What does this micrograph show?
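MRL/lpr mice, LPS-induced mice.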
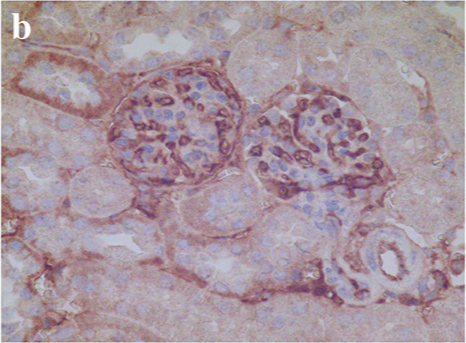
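This section of renal cortex shows two glomeruli lying side by side, surrounded by cross-sections of renal tubules. Within each glomerular tuft, dark brown stain outlines the capillary loops and the cells between them, while small round nuclei are counterstained blue. The tubules are lined by cuboidal epithelial cells with pale brownish cytoplasm and round blue nuclei around small lumina. Brown stain also runs along the narrow interstitial spaces between the tubules.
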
